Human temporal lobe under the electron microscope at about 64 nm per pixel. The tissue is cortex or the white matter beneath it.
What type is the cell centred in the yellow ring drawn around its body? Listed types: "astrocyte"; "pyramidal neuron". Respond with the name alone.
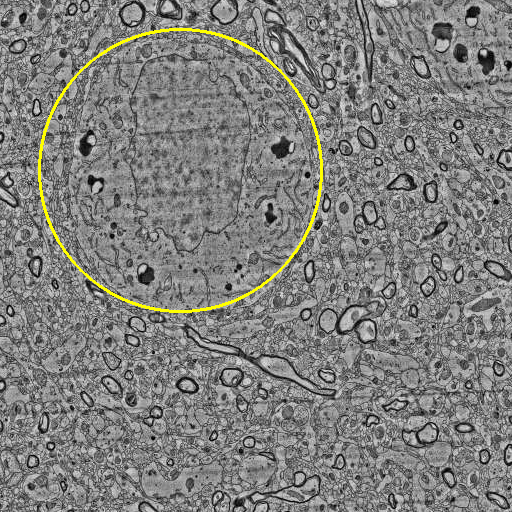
pyramidal neuron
